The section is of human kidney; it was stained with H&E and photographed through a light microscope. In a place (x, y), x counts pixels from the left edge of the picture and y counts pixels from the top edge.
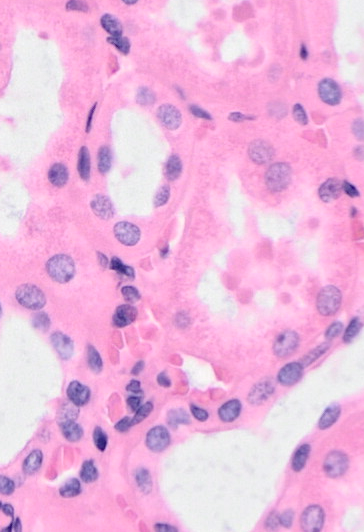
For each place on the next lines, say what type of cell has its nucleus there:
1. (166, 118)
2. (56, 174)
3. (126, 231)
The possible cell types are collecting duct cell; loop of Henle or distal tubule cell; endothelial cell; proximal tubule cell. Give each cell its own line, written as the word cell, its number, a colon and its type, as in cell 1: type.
cell 1: loop of Henle or distal tubule cell
cell 2: proximal tubule cell
cell 3: loop of Henle or distal tubule cell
